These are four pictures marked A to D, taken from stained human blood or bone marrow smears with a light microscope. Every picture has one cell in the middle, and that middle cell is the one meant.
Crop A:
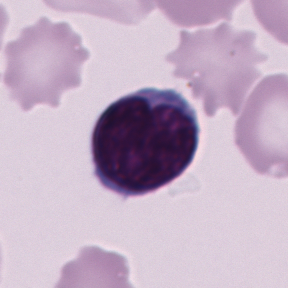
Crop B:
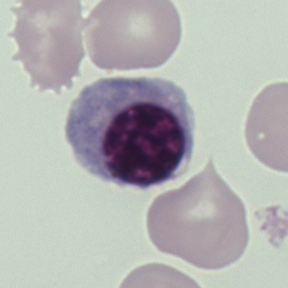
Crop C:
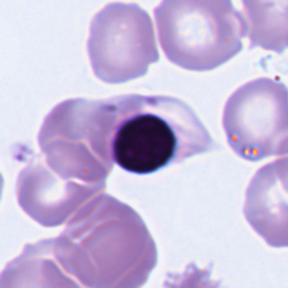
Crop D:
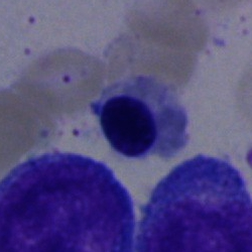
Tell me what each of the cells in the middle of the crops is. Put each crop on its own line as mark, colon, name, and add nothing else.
A: lymphocyte
B: normoblast
C: normoblast
D: normoblast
